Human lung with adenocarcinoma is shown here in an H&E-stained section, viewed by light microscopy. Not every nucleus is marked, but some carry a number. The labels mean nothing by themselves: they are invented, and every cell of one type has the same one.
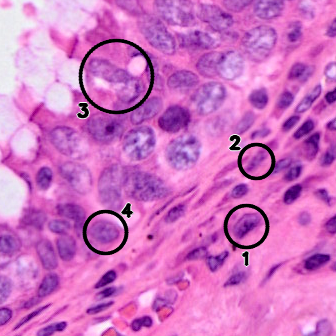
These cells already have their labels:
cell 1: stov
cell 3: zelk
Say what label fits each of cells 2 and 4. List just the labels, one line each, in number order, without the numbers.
stov
zelk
